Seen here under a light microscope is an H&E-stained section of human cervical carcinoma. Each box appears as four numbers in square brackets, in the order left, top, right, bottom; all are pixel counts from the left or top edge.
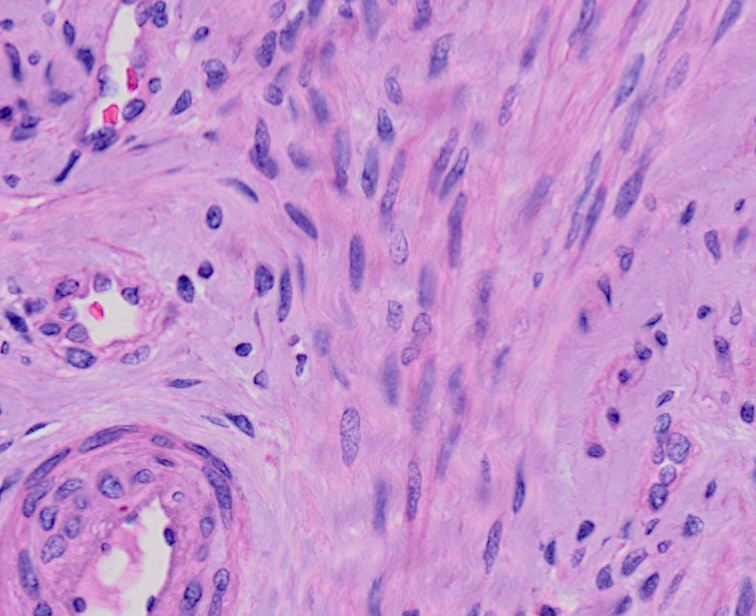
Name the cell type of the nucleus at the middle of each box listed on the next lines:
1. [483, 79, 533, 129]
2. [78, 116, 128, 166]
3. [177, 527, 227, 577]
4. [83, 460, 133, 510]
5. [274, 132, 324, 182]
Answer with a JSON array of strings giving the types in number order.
["smooth muscle cell", "endothelial cell", "smooth muscle cell", "smooth muscle cell", "fibroblast"]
